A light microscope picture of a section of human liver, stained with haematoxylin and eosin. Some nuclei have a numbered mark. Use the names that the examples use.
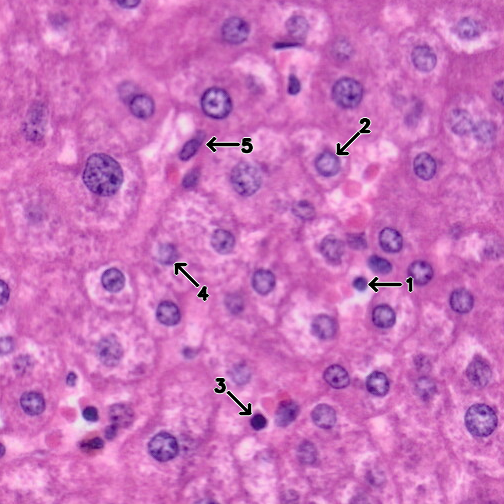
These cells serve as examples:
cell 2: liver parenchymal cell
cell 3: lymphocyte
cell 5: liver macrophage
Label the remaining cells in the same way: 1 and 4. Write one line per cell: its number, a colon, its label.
1: lymphocyte
4: liver parenchymal cell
